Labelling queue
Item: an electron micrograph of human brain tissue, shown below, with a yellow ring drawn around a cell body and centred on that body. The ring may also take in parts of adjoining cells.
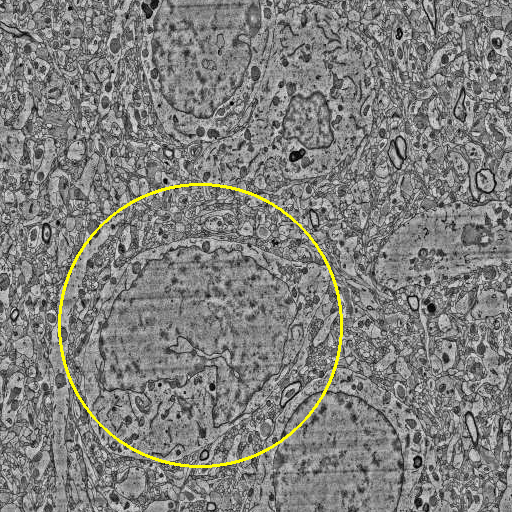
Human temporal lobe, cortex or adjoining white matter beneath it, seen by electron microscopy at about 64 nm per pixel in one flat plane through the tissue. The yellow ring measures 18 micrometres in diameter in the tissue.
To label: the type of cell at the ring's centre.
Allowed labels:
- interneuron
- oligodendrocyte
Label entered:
interneuron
